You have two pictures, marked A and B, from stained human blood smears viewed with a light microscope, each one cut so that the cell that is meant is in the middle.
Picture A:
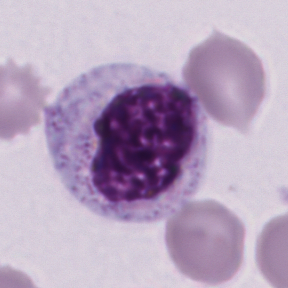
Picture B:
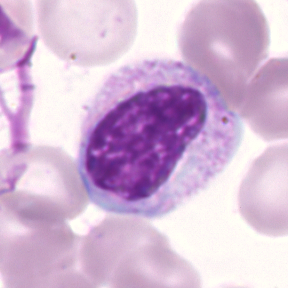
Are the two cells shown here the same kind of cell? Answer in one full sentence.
Yes, both are metamyelocytes.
